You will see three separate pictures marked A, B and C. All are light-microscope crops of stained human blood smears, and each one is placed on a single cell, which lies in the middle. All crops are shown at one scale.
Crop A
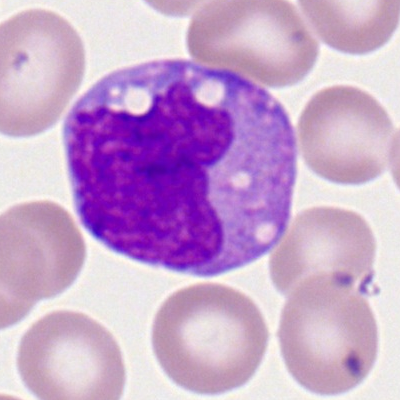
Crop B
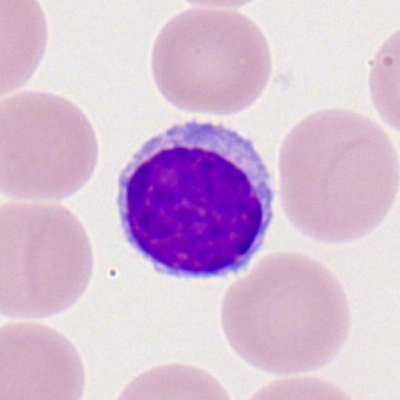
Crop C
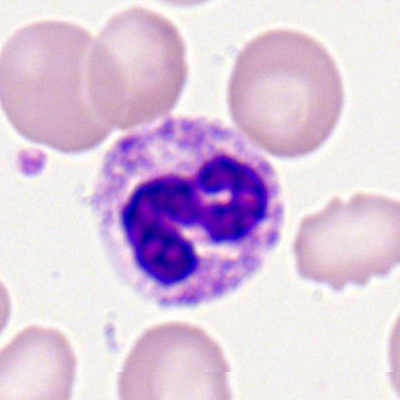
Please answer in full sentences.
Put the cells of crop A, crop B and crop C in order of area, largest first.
The order is A, C, B, beginning with the largest.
